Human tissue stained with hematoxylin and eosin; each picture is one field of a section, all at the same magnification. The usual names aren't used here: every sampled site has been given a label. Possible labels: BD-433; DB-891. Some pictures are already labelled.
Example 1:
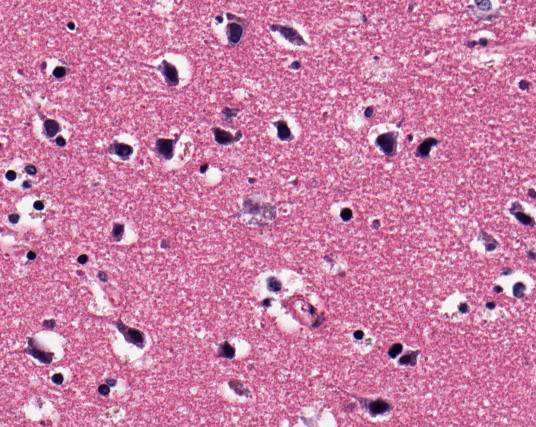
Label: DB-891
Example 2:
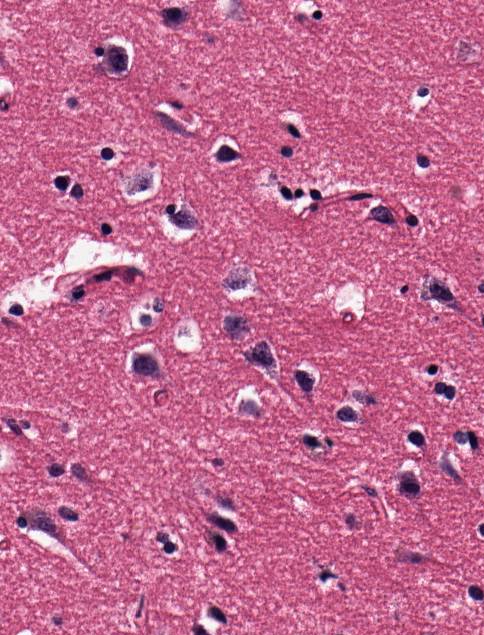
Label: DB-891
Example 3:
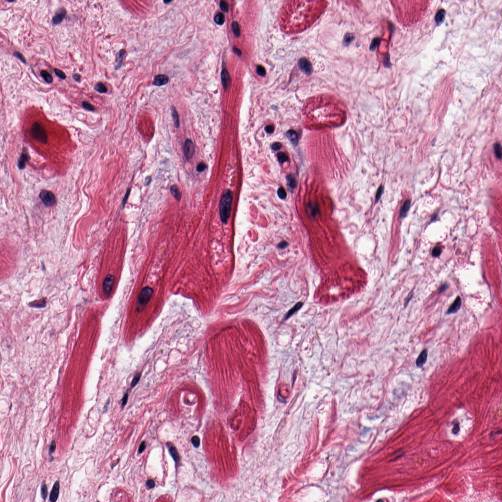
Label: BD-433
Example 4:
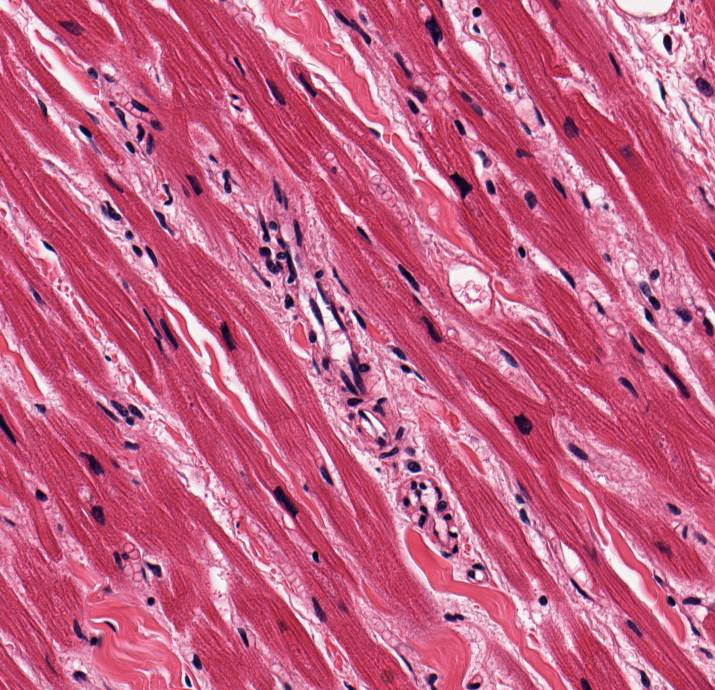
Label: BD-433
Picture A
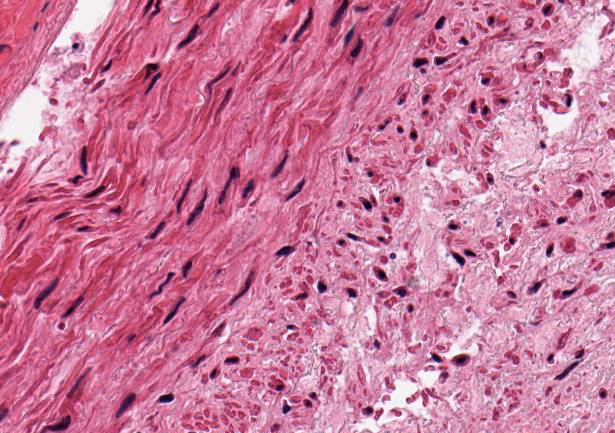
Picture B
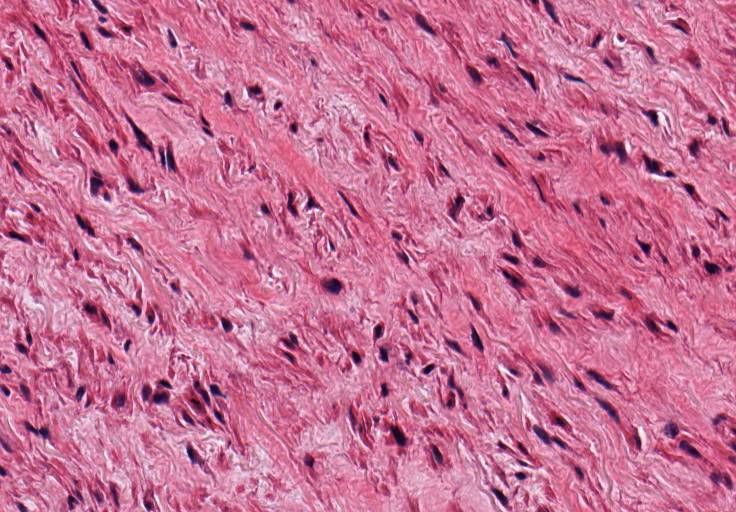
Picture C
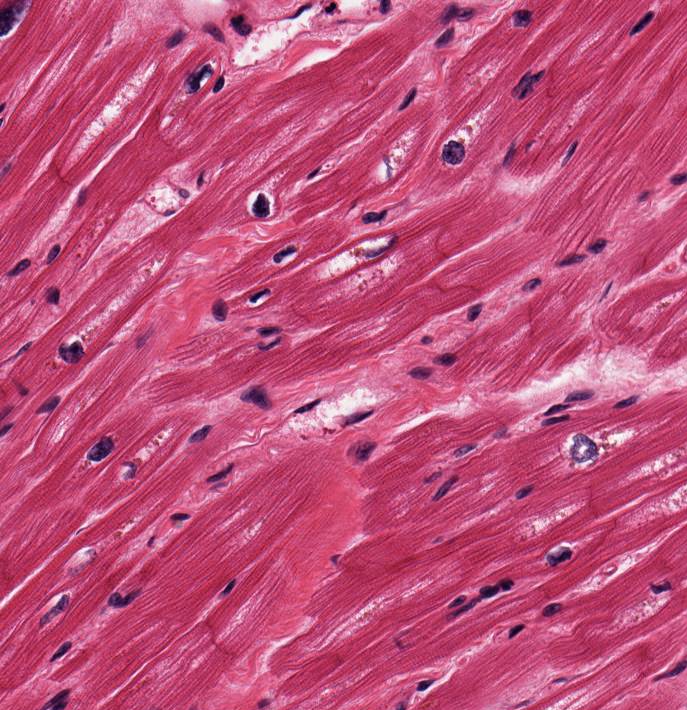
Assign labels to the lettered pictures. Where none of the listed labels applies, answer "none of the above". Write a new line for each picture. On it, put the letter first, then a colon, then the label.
A: none of the above
B: none of the above
C: BD-433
